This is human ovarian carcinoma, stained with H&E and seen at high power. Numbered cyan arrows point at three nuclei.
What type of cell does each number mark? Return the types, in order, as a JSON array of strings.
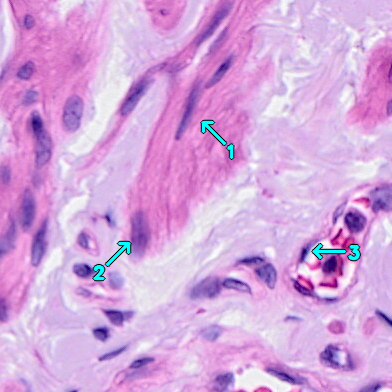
["smooth muscle cell", "smooth muscle cell", "endothelial cell"]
